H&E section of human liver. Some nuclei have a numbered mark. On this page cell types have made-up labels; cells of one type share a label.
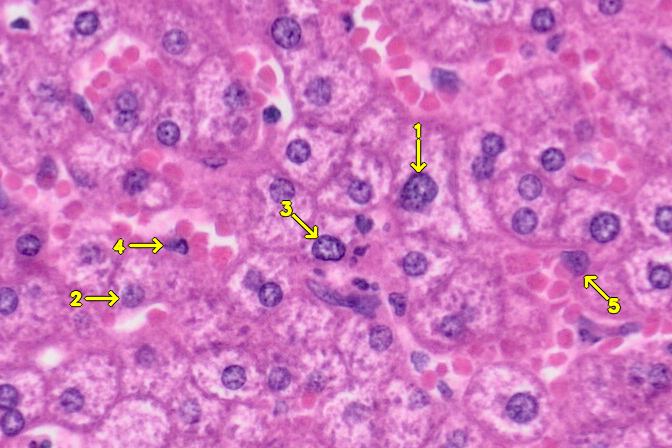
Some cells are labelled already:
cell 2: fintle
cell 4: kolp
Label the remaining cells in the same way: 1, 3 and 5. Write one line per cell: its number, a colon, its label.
1: fintle
3: fintle
5: kolp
